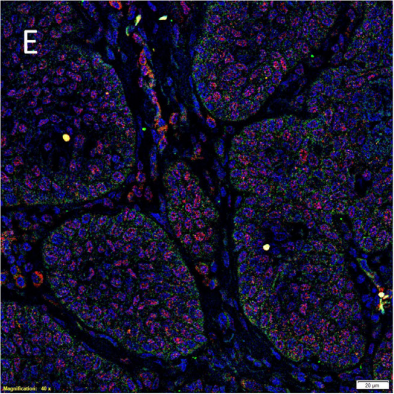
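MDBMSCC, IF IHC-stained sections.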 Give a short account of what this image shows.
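Several rounded tumor nests of densely packed epithelial cells with large oval blue nuclei are separated by thin dark bands of stroma. Within the nests the nuclei are speckled red and the cytoplasm carries fine green granules, while the stroma contains spindle-shaped nuclei and a few brightly stained single cells.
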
